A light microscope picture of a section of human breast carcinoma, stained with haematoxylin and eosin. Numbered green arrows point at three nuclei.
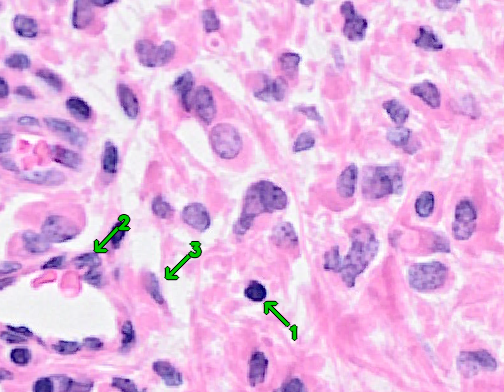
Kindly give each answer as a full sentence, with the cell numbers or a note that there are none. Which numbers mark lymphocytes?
In contrast to the remaining marked cells, cell 1 is a lymphocyte.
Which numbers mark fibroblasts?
Only the cell carrying number 3 is a fibroblast.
